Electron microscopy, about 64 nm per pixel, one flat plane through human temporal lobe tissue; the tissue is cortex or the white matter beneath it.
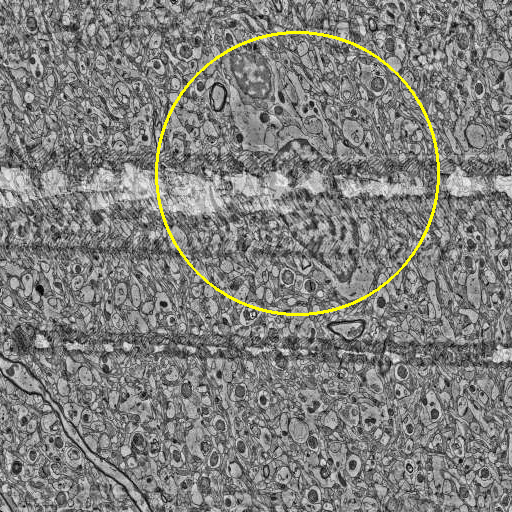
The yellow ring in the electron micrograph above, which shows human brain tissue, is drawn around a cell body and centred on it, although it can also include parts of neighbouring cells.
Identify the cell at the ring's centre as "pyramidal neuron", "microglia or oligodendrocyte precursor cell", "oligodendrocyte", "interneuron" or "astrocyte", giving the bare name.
microglia or oligodendrocyte precursor cell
